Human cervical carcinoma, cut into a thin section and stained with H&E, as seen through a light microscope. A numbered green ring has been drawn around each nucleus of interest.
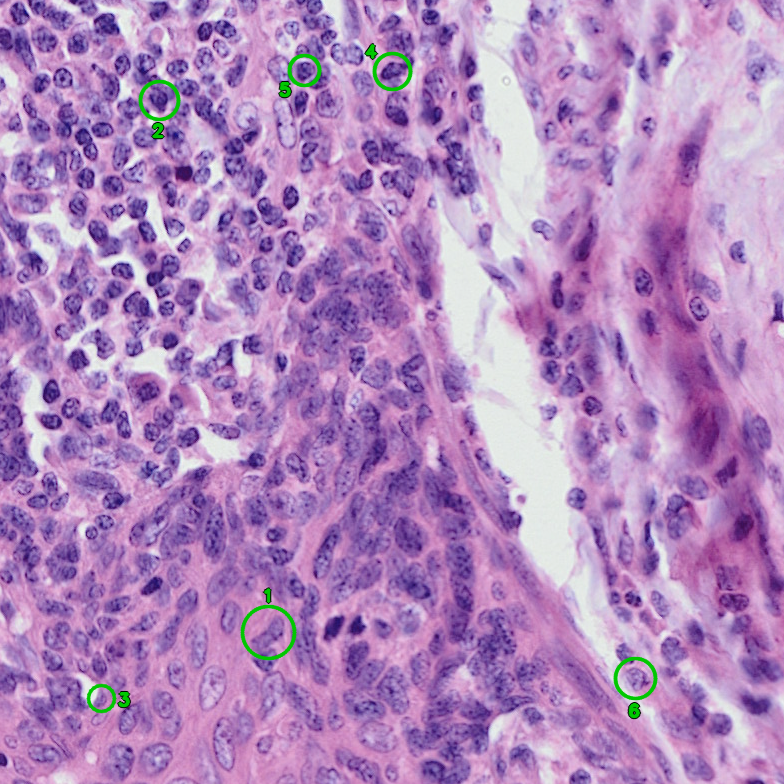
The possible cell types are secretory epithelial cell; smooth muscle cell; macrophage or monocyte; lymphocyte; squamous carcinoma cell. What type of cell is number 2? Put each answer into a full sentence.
The cell with the number 2 is a lymphocyte.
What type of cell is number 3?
The cell identified by the number 3 is a squamous carcinoma cell.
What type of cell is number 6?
The numeral 6 marks a macrophage or monocyte in this section.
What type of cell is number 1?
The cell identified by number 1 is a squamous carcinoma cell.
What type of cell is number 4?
The nucleus labeled 4 belongs to a lymphocyte.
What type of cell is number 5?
The cell tagged with 5 in this tissue section is a lymphocyte.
